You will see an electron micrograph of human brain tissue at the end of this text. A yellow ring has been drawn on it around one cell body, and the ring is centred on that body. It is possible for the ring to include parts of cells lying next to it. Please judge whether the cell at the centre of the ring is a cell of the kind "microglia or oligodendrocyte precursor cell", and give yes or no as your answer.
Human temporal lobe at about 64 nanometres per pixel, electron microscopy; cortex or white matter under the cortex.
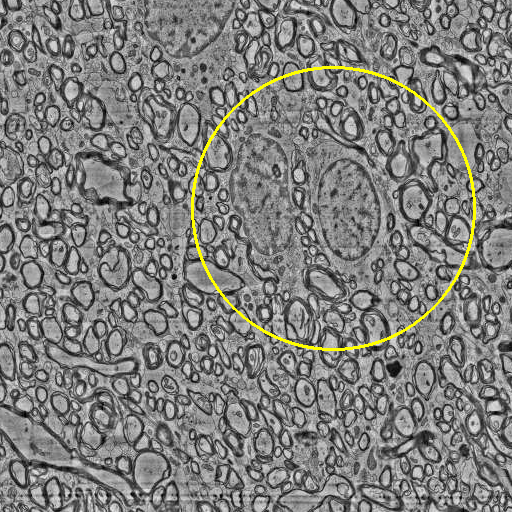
yes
